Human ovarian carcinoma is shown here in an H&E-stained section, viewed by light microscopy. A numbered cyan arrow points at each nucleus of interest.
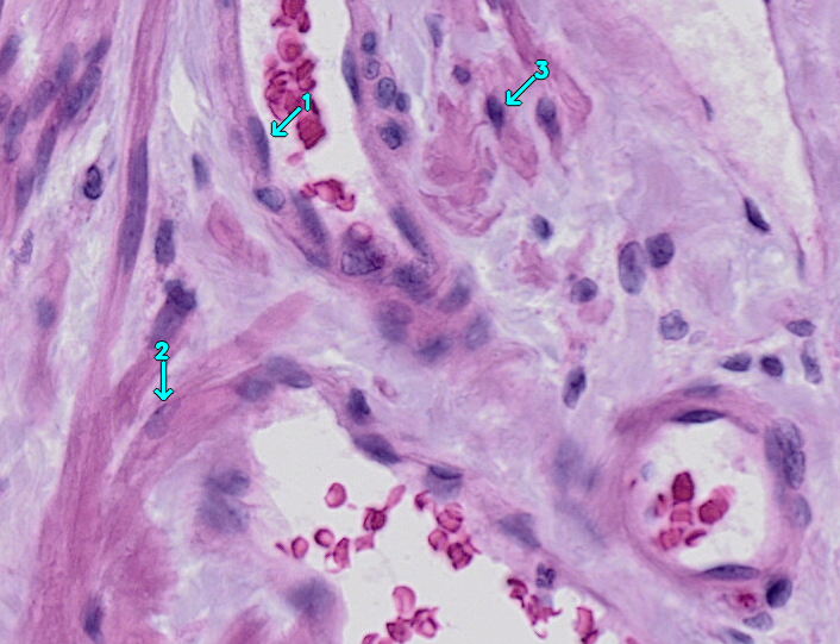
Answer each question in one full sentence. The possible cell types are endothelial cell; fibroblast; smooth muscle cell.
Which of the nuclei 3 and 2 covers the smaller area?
Number 3 is smaller, since number 2 takes up about 1.5 times as much area.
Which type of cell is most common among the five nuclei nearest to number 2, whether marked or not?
Most of the five nuclei nearest to number 2 are those of endothelial cells.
